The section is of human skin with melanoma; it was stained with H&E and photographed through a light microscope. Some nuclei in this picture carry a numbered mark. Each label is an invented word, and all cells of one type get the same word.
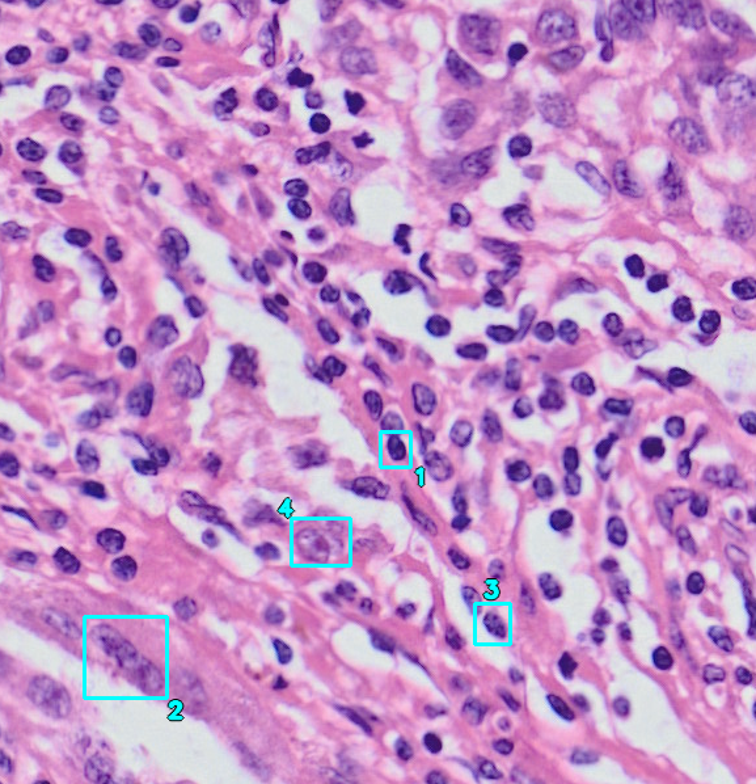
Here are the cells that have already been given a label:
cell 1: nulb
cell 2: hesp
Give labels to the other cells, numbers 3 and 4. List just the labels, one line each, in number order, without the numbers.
nulb
hesp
